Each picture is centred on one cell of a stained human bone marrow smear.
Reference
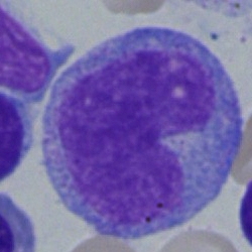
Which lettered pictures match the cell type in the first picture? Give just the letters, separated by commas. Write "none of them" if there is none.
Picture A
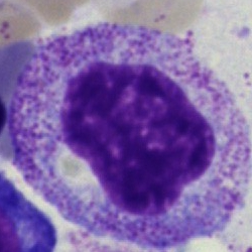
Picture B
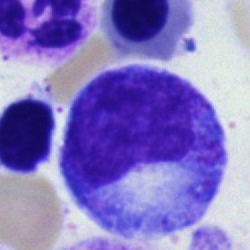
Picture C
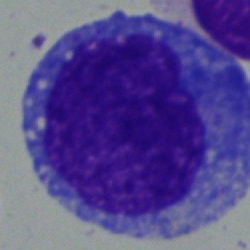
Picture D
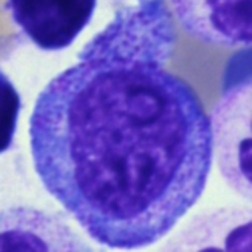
B, C, D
